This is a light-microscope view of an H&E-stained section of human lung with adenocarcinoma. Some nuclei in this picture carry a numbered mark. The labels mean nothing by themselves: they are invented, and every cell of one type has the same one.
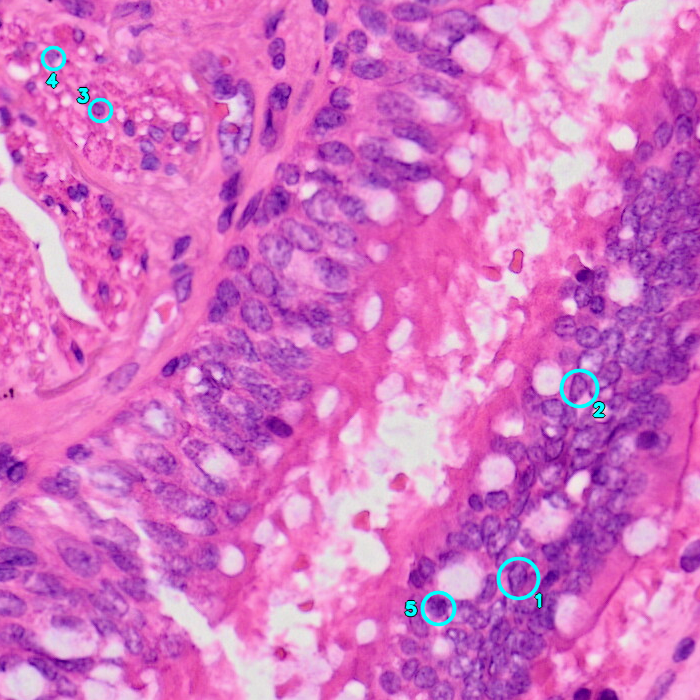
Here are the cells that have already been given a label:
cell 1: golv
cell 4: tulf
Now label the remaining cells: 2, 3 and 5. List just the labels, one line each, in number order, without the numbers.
golv
tulf
golv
